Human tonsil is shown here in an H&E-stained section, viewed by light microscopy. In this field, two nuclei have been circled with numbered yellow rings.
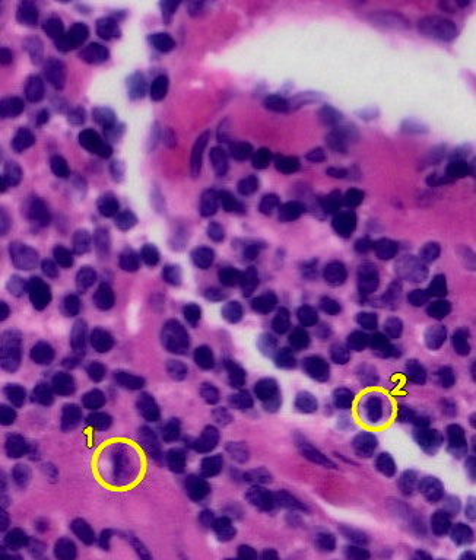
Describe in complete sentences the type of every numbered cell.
Cell 1 is an endothelial cell and cell 2 is a small lymphocyte.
